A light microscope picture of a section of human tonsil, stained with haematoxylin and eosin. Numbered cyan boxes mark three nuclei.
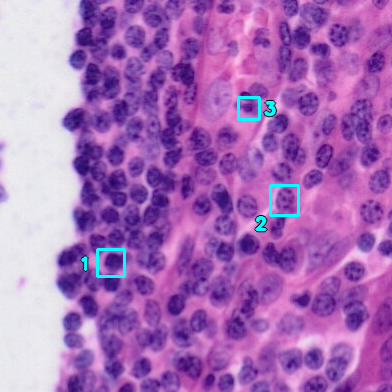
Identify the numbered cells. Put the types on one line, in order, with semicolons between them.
small lymphocyte; plasma cell; endothelial cell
